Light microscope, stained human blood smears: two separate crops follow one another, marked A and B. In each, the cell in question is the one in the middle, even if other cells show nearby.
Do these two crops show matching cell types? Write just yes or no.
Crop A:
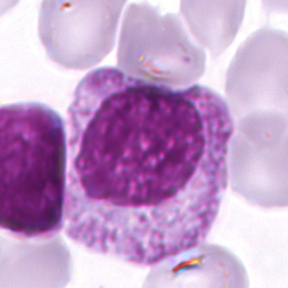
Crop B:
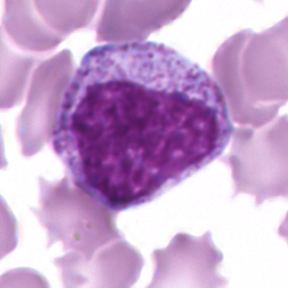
yes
